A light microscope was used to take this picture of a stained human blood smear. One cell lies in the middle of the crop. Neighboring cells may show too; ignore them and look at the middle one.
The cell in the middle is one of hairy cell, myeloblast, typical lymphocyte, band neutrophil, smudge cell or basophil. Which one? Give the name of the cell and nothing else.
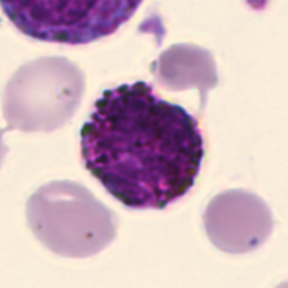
basophil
